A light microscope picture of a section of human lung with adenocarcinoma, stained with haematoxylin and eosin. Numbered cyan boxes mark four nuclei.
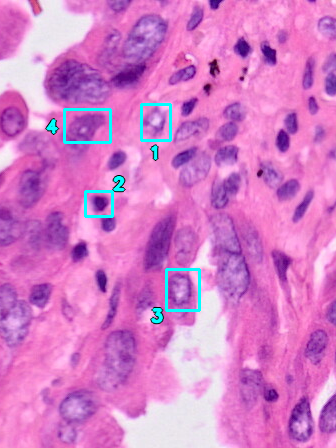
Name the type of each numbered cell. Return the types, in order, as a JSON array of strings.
["fibroblast", "lymphocyte", "carcinoma cell", "carcinoma cell"]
